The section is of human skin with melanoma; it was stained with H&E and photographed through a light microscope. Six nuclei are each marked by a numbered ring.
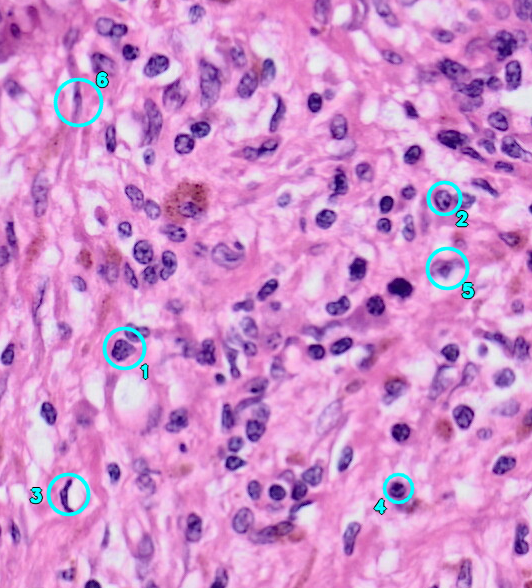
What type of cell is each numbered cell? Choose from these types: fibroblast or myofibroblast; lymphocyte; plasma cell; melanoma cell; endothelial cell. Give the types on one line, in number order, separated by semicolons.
lymphocyte; plasma cell; fibroblast or myofibroblast; plasma cell; fibroblast or myofibroblast; fibroblast or myofibroblast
